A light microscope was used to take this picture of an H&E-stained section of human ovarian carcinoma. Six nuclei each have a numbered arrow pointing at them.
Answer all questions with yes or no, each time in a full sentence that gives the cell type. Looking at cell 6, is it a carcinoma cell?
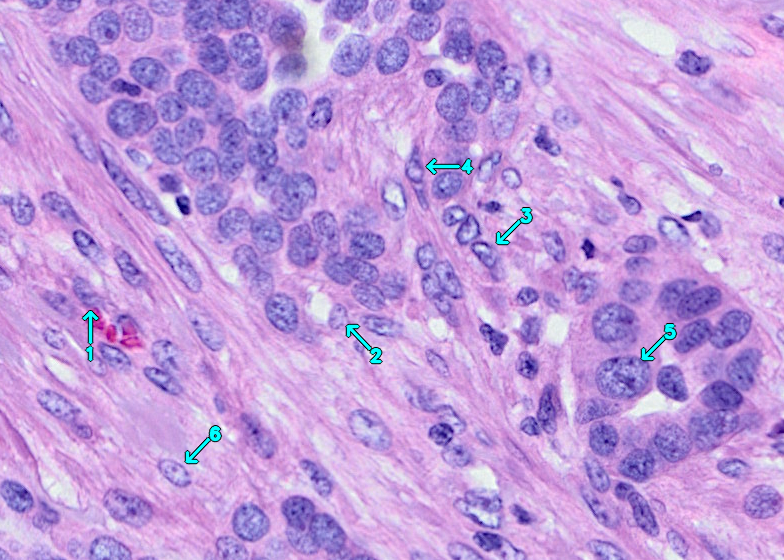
No, the cell denoted 6 is a fibroblast rather than a carcinoma cell.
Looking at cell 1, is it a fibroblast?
No, it is an endothelial cell that is marked with number 1, not a fibroblast.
